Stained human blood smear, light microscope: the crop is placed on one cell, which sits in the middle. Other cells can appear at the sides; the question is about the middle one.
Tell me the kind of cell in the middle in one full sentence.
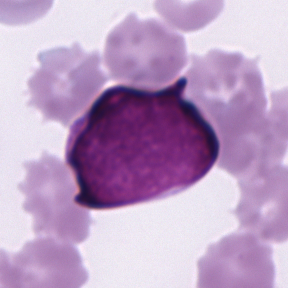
The cell in the exact centre of the crop is a blast.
